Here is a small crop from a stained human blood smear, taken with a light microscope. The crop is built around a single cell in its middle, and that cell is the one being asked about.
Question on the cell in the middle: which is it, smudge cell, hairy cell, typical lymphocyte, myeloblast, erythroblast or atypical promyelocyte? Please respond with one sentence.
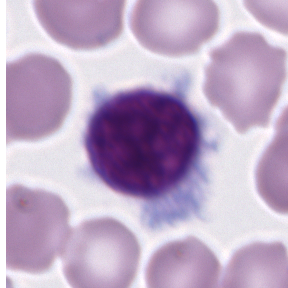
At the center of the crop sits a hairy cell.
